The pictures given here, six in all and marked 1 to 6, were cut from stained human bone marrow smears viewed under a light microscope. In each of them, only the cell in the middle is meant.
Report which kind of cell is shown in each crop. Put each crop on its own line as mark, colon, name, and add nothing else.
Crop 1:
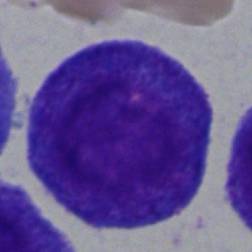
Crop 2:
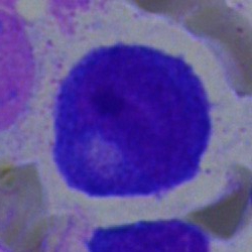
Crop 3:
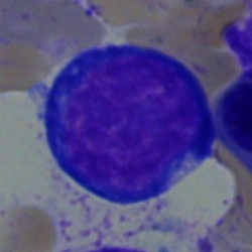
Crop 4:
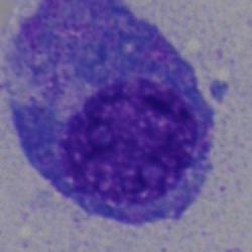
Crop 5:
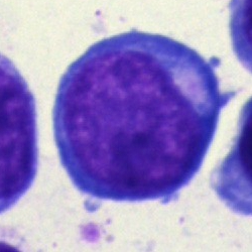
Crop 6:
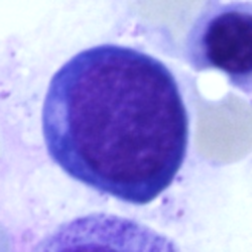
1: promyelocyte
2: promyelocyte
3: proerythroblast
4: promyelocyte
5: proerythroblast
6: proerythroblast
